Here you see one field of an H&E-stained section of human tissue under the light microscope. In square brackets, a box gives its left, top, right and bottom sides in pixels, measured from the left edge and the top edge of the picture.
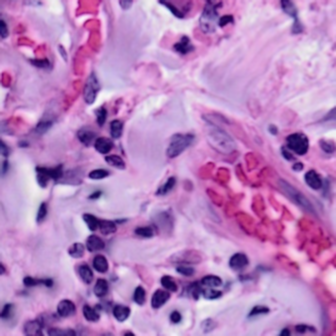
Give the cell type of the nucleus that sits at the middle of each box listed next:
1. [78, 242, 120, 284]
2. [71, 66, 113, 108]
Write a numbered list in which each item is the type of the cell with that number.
1. lymphocyte
2. endothelial cell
